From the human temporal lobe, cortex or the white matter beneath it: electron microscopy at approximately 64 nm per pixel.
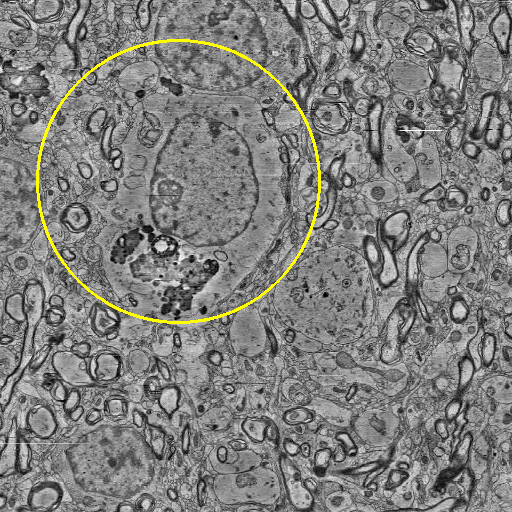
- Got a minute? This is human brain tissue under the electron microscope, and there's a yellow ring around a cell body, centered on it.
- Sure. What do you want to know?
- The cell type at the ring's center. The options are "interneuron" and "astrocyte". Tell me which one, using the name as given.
astrocyte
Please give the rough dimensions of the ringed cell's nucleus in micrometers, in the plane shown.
In this plane, about 9 micrometres in length and 7 in width.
